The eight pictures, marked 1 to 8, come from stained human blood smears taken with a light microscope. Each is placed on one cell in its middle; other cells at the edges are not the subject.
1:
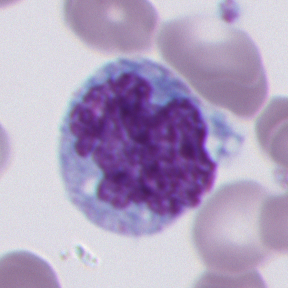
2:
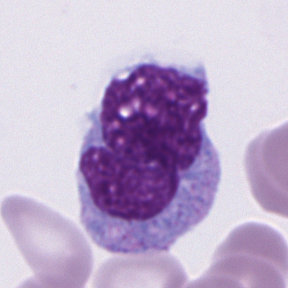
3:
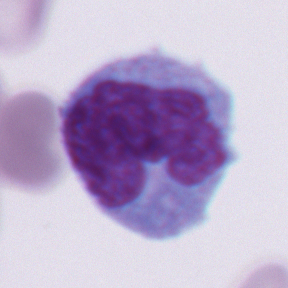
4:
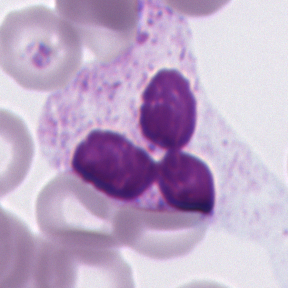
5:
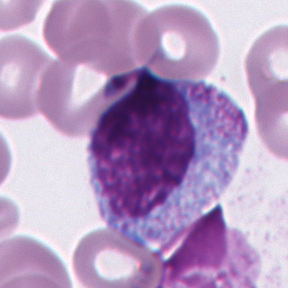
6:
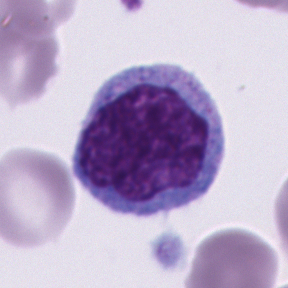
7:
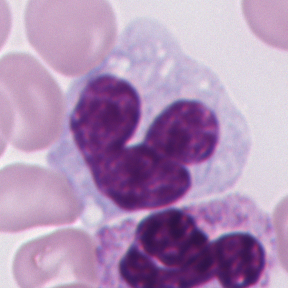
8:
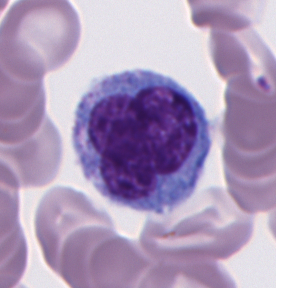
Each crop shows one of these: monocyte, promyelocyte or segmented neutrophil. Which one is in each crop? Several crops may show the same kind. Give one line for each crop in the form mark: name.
1: monocyte
2: monocyte
3: monocyte
4: segmented neutrophil
5: promyelocyte
6: monocyte
7: monocyte
8: monocyte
